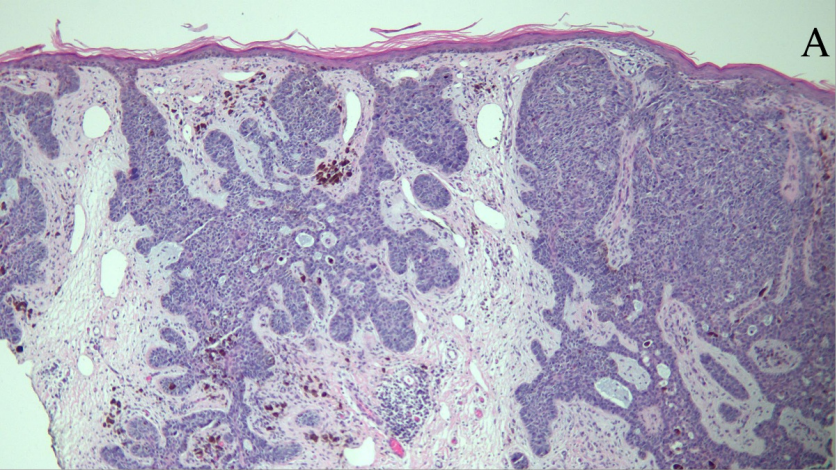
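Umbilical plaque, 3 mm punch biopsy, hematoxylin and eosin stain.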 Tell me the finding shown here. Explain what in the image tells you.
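Nests and lobules of small, dark blue-purple cells fill the dermis. Several nests connect to the underside of the epidermis. Pale, loose stroma surrounds the nests.
Nodular aggregates of basaloid tumor cells.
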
